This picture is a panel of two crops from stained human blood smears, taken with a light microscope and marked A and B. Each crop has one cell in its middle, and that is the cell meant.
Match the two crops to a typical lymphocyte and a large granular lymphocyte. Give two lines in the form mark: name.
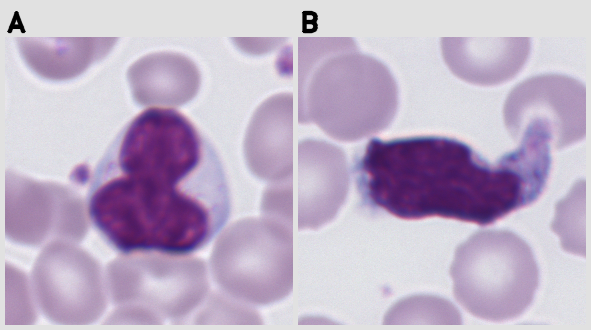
A: large granular lymphocyte
B: typical lymphocyte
